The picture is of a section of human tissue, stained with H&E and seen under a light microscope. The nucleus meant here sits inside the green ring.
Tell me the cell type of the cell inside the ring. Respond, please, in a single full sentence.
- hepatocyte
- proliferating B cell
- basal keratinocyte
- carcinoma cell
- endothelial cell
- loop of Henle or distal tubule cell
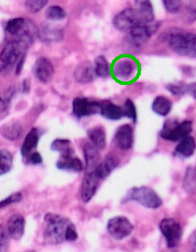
By cell type, the cell inside the ring is a carcinoma cell.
